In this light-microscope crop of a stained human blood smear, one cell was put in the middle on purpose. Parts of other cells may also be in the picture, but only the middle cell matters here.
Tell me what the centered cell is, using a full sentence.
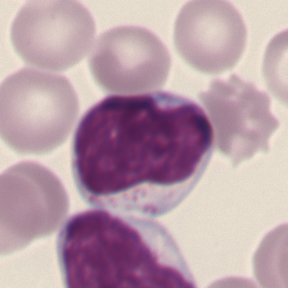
The cell centred in this crop is categorized as a large granular lymphocyte.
